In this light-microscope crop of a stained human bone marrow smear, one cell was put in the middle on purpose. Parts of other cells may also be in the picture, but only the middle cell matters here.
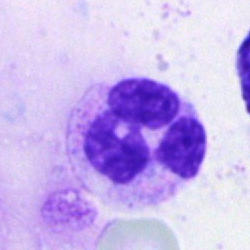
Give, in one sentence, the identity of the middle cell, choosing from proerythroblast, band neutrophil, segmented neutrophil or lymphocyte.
For this crop, the cell in the middle is a segmented neutrophil.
